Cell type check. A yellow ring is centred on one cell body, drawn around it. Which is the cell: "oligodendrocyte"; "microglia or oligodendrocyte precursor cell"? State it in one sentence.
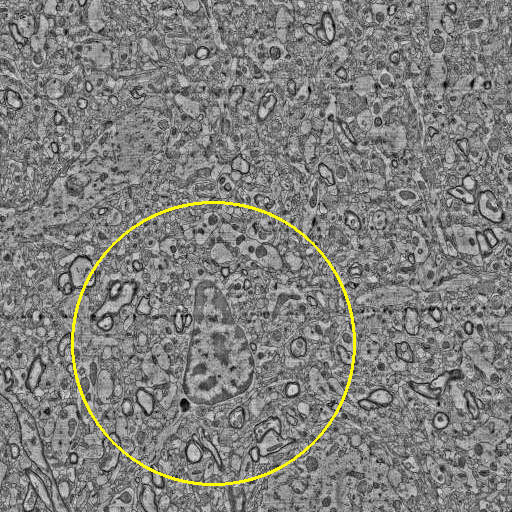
The cell body at the ring's centre belongs to a microglial cell or oligodendrocyte precursor cell.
